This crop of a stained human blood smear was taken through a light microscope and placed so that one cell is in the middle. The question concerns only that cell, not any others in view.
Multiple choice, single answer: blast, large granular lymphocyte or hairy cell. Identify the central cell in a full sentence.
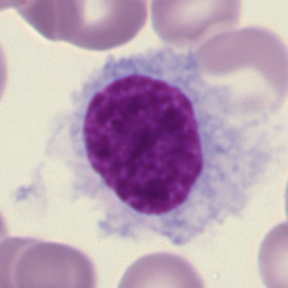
To answer, the cell in the center of the crop is a hairy cell.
